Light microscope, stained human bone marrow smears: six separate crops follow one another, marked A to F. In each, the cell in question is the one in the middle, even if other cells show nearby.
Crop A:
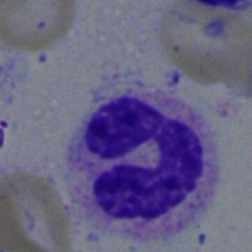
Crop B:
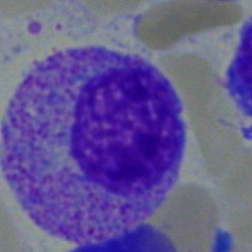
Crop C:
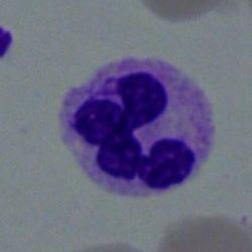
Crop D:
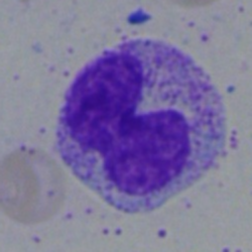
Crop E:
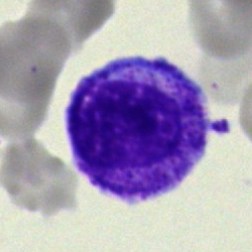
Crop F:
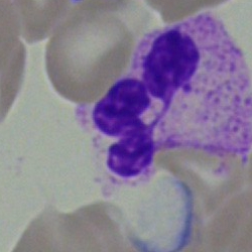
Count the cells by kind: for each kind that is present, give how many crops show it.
band neutrophil: 2
myelocyte: 2
segmented neutrophil: 2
